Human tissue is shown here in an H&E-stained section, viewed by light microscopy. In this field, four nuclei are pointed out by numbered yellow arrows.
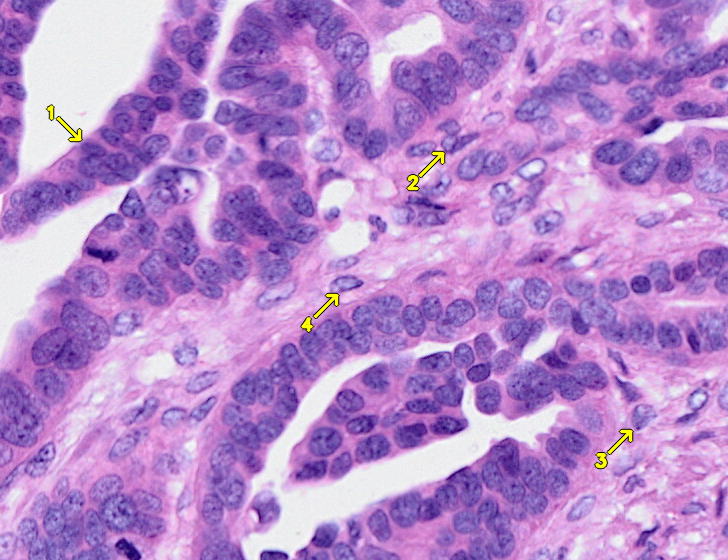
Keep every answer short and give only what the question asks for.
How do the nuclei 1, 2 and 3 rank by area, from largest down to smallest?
3, 1, 2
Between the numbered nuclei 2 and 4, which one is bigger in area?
4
